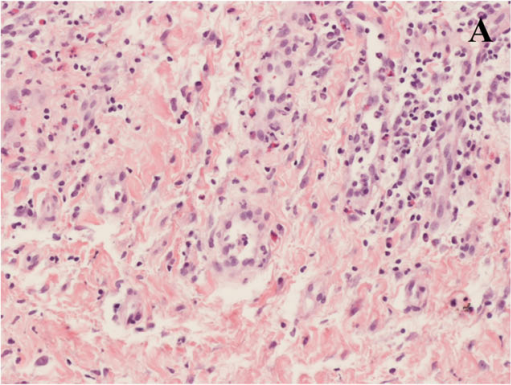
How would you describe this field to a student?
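This is inflamed, scarred tissue. Broad bands of pale pink, wavy collagen run across the field, and between and around them lie many inflammatory cells. Some have round, dark nuclei with a rim of cytoplasm, others have lobed nuclei, and scattered among them are cells whose cytoplasm is filled with bright red-orange granules. Larger cells with more abundant, paler cytoplasm and oval nuclei are mixed in. The cells crowd most densely toward the upper right, while the left side is dominated by the fibrous pink stroma with fewer cells. Small vessel-like groups of cells can be made out within the stroma.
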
